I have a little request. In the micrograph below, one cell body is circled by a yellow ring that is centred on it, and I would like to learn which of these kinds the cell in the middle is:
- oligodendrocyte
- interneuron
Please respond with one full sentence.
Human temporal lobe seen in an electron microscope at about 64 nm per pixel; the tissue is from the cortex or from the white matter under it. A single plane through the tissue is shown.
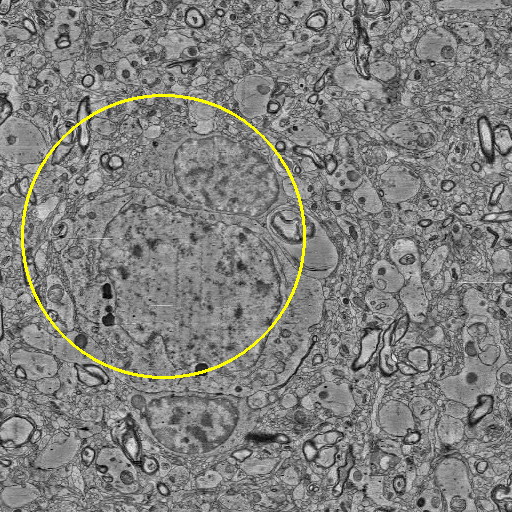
The cell sitting in the middle of the yellow ring in the micrograph is an interneuron.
